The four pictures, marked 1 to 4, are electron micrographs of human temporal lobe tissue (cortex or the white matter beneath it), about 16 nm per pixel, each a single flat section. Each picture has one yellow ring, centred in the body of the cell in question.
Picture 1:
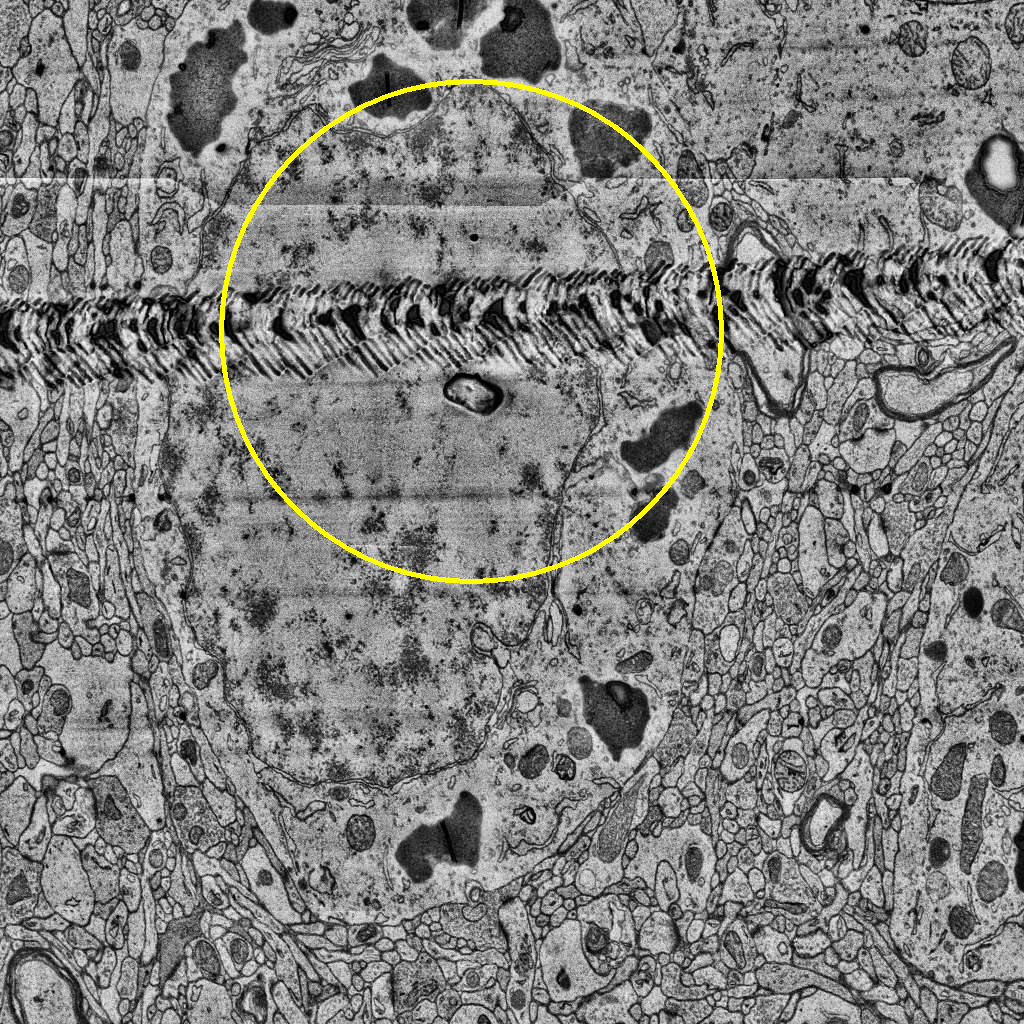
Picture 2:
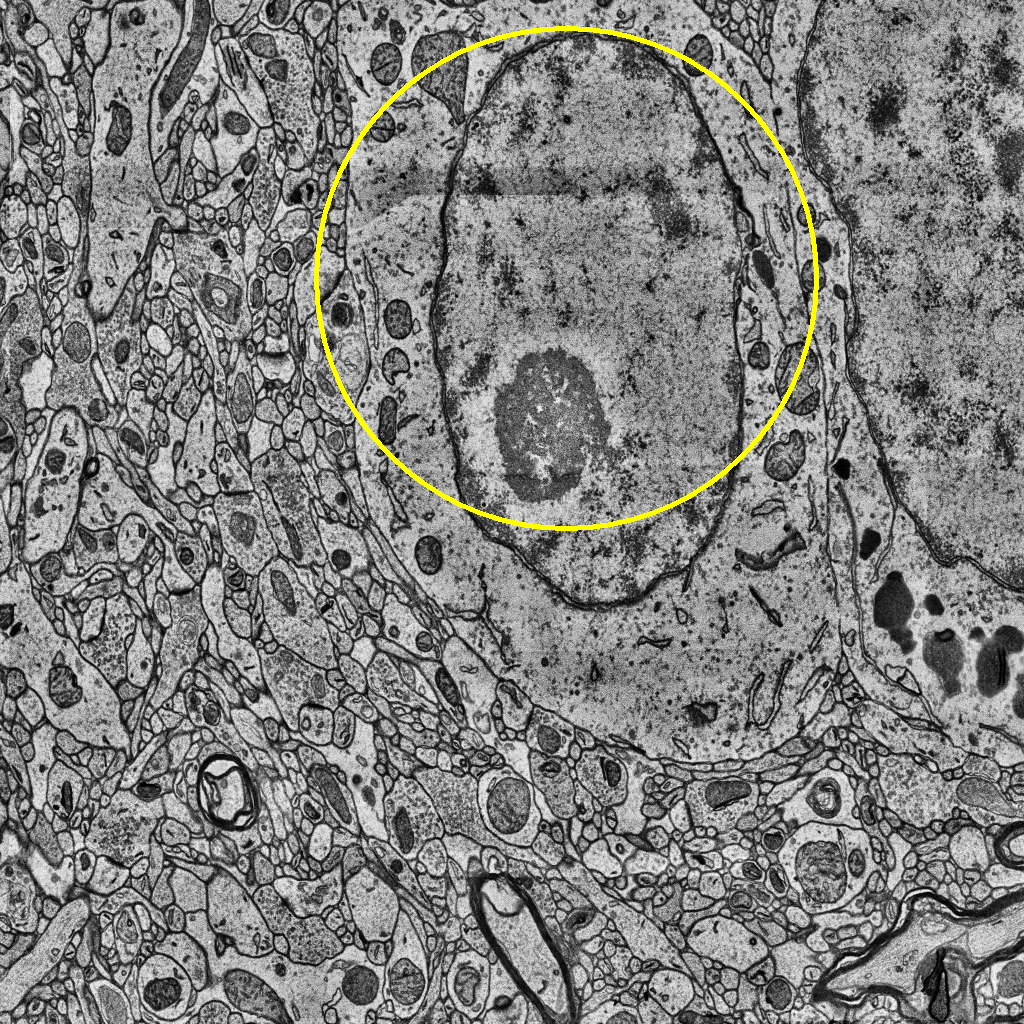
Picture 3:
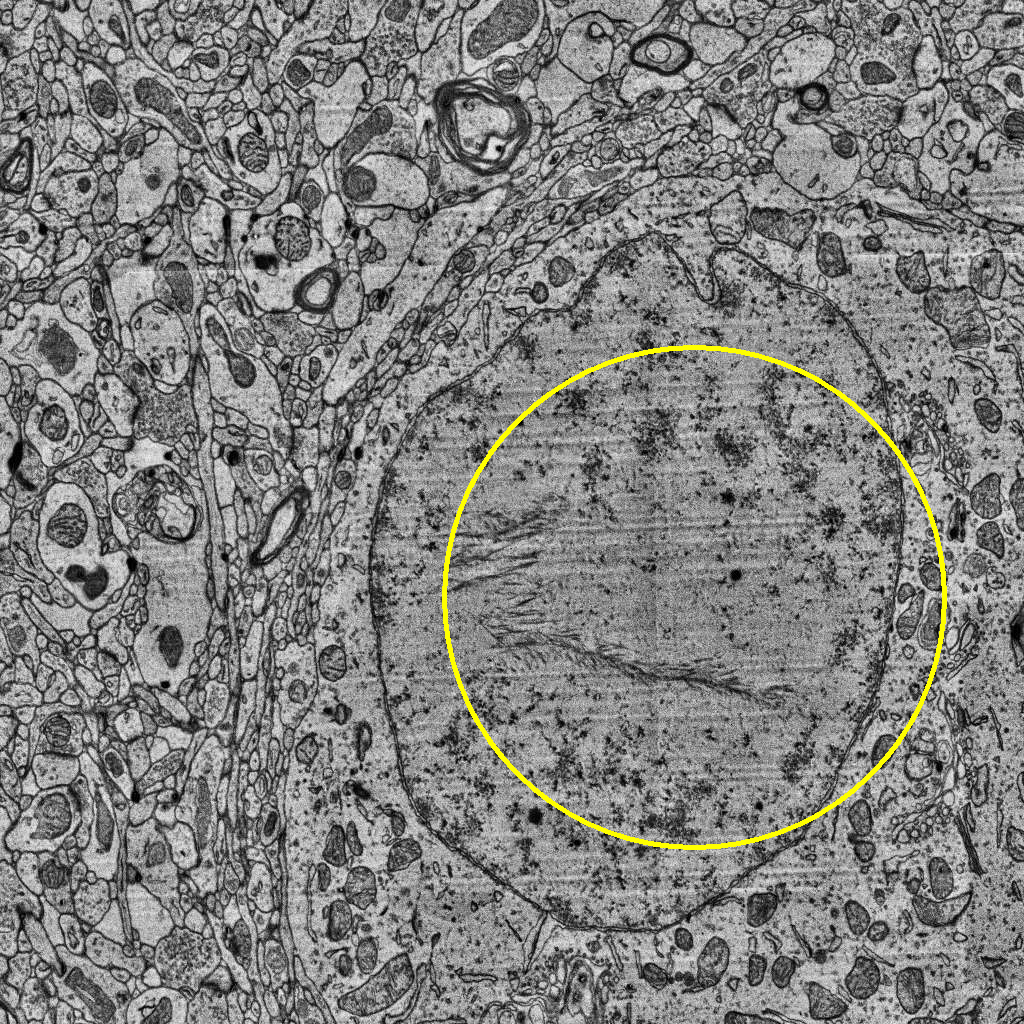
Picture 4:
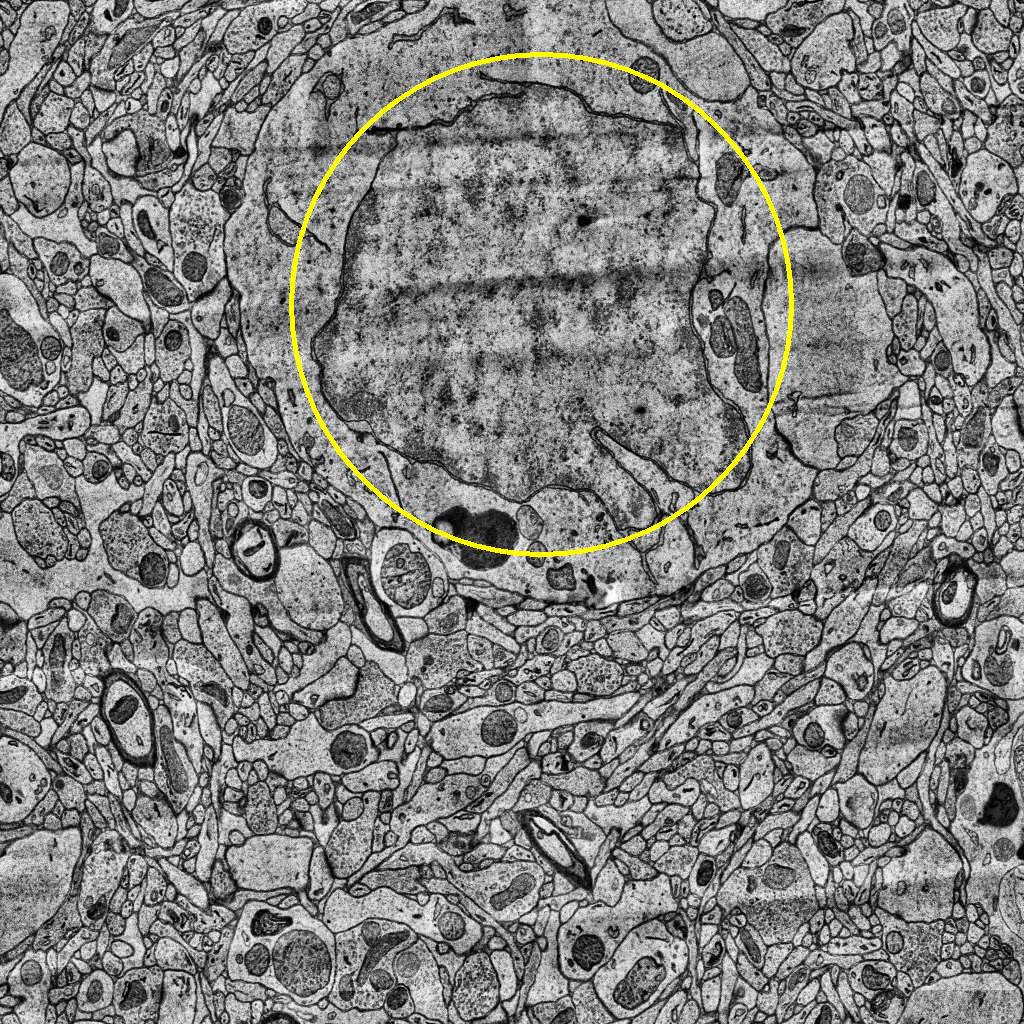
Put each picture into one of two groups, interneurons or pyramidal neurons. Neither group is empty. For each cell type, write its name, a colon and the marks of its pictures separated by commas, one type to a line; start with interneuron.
interneuron: 1, 3, 4
pyramidal neuron: 2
